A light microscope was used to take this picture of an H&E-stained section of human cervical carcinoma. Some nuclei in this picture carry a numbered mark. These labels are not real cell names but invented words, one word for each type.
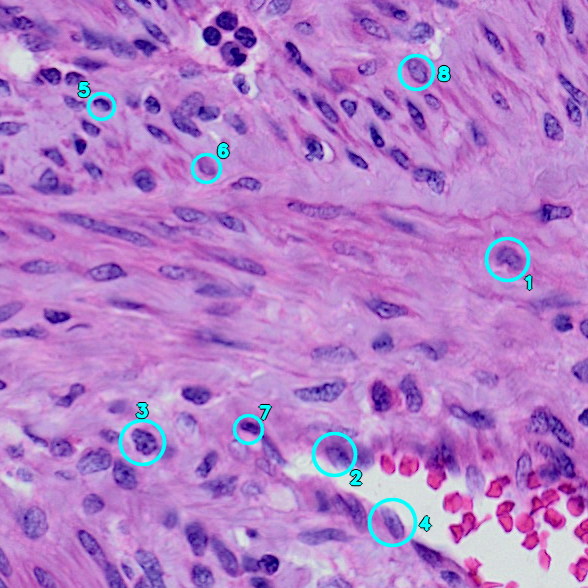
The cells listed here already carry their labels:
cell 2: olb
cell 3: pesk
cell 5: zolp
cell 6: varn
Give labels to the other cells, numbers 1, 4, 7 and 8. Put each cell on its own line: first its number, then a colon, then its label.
1: varn
4: olb
7: olb
8: varn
